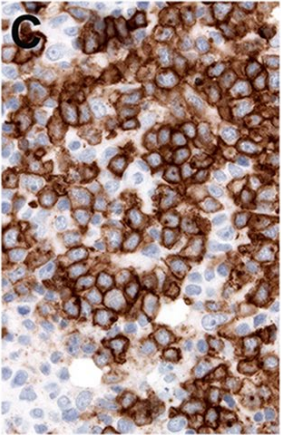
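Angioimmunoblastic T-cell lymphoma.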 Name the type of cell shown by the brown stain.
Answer: Clear cells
